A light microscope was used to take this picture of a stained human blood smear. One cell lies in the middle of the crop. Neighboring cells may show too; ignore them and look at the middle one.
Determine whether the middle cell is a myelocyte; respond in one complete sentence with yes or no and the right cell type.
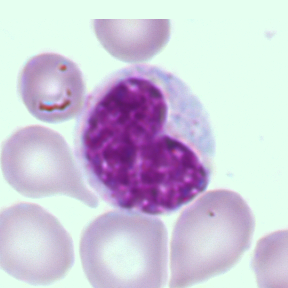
No, the central cell here is a metamyelocyte; calling it a myelocyte is not right.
